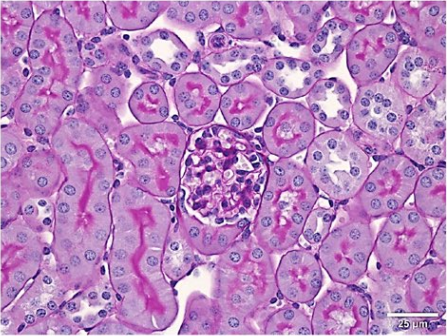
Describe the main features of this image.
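A kidney cortex stained pink-magenta, with a single round glomerulus at the centre: a compact tuft of capillary loops holding many small dark-blue nuclei, wrapped by a thin magenta capsule and separated from it by a slim clear space. Around it lie many tubules cut across, lined by cuboidal cells with round blue nuclei and pale pink cytoplasm; many of them have a bright magenta brush border lining a narrow lumen, while a few have wider, paler open lumens. Thin magenta basement membranes outline each tubule, and the interstitium between them is scant.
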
